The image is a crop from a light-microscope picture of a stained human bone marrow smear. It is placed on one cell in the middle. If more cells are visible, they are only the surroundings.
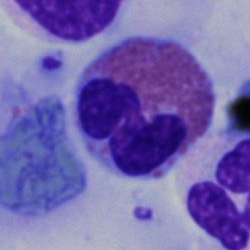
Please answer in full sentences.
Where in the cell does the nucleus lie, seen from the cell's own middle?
The nucleus is pushed toward the lower left of the cell.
